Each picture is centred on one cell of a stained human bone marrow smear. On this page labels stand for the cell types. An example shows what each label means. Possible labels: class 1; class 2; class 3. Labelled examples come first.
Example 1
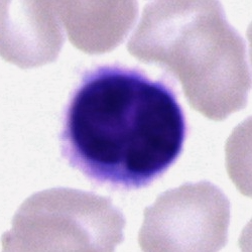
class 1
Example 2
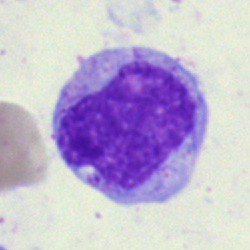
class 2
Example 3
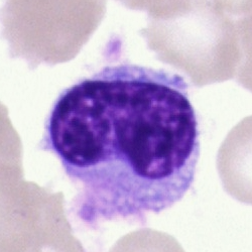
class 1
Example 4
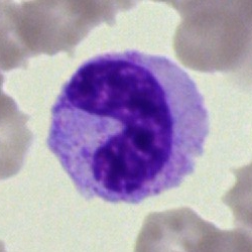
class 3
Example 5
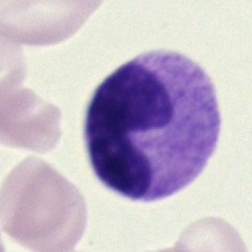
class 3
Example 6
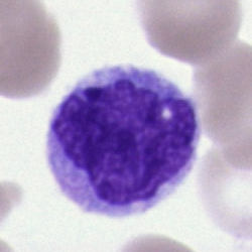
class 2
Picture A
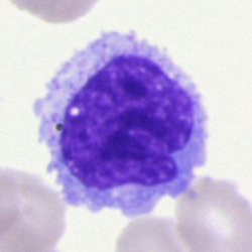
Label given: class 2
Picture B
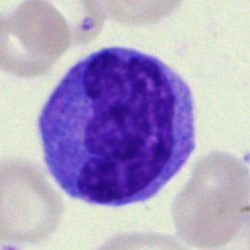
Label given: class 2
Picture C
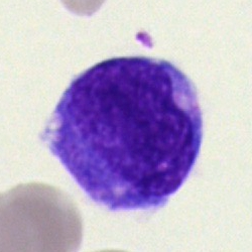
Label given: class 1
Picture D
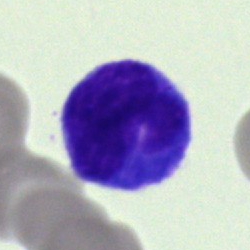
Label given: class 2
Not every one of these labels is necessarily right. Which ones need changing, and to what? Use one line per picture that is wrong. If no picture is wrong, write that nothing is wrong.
C is labelled class 1; correct label: class 2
